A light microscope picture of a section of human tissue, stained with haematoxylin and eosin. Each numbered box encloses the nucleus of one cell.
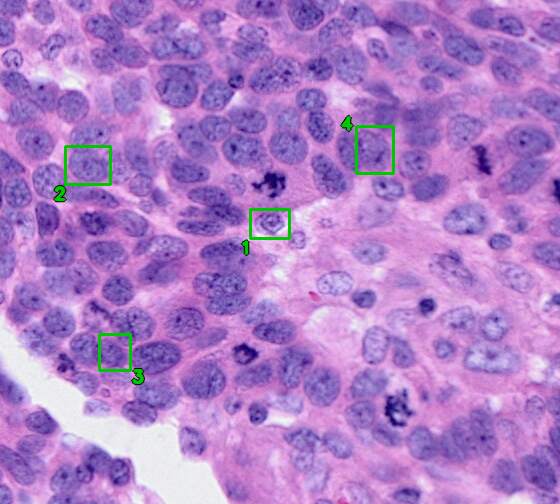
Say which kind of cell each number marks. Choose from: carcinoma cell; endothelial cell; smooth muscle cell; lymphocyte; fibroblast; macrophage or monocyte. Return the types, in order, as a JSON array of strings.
["macrophage or monocyte", "carcinoma cell", "carcinoma cell", "carcinoma cell"]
